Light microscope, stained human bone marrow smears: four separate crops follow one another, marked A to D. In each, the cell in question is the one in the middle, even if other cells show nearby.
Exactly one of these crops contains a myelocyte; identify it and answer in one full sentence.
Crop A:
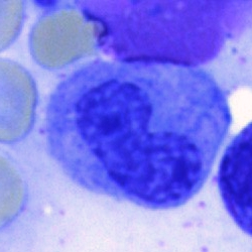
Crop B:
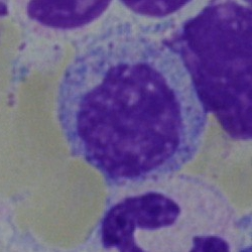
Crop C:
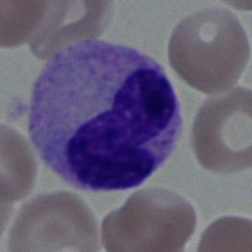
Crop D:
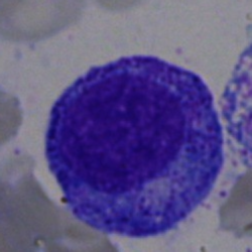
The crop marked B is the one that shows a myelocyte.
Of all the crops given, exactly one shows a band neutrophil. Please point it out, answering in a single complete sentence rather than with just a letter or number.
Among all the crops given here, the one with a band neutrophil is crop C.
